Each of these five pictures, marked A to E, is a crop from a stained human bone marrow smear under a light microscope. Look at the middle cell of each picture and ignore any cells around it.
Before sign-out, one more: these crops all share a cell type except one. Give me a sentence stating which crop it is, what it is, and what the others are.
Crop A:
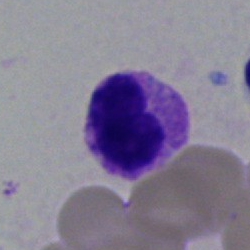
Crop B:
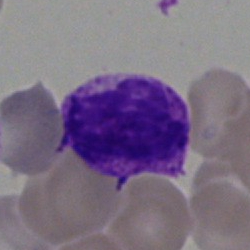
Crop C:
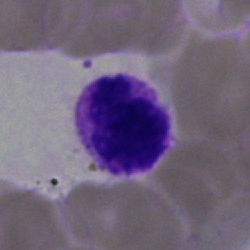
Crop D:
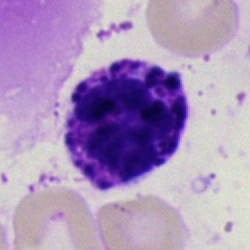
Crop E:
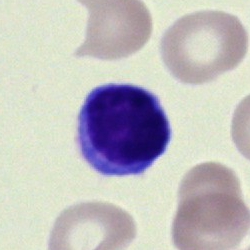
Excluding crop E, which is a lymphocyte, the crops all show basophils.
